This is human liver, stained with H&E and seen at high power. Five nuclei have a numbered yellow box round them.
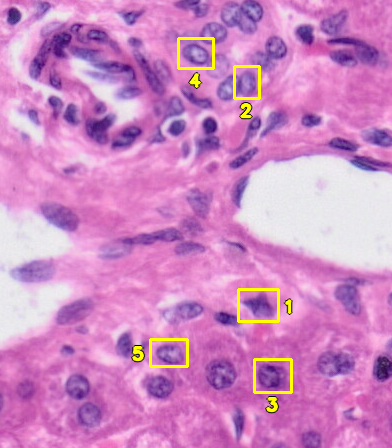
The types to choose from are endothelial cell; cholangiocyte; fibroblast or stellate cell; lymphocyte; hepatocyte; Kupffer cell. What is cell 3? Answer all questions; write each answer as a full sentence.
Belonging to a hepatocyte is the nucleus that carries the number 3.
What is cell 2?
The cell that bears the number 2 is a cholangiocyte.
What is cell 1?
Numbered cell 1 is a fibroblast or stellate cell in this tissue section.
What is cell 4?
As for number 4, that cell is a cholangiocyte.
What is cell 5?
Number 5 is placed on a cholangiocyte here.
